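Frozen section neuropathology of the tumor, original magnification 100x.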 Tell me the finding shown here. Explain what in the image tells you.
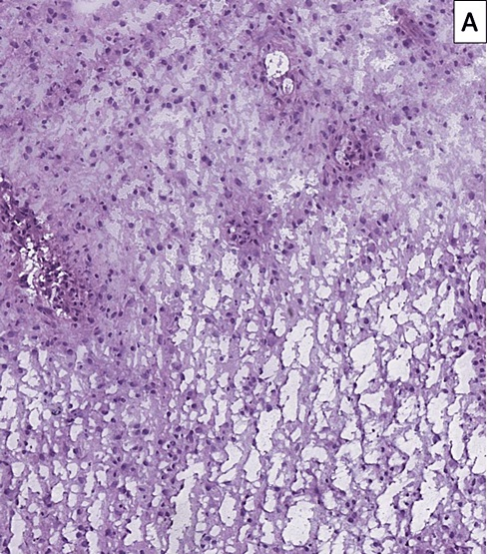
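The lower part of the tissue is broken up by many small clear spaces. Cells are scattered rather than densely packed. On this evidence: cystic areas.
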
